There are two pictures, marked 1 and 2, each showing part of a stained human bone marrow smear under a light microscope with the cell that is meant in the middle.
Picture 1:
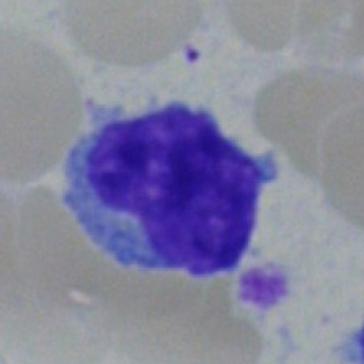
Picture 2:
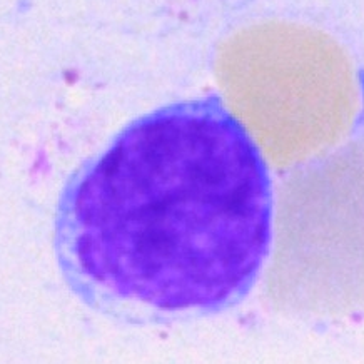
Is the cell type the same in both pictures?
yes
